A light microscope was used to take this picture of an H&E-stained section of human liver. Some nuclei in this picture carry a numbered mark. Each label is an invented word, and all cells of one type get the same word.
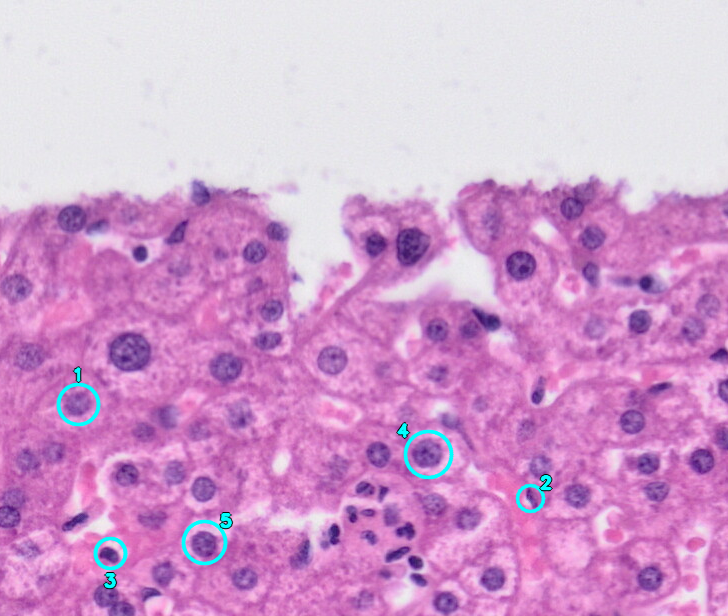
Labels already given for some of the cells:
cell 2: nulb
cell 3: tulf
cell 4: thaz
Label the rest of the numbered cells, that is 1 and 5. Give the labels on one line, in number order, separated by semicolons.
thaz; thaz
